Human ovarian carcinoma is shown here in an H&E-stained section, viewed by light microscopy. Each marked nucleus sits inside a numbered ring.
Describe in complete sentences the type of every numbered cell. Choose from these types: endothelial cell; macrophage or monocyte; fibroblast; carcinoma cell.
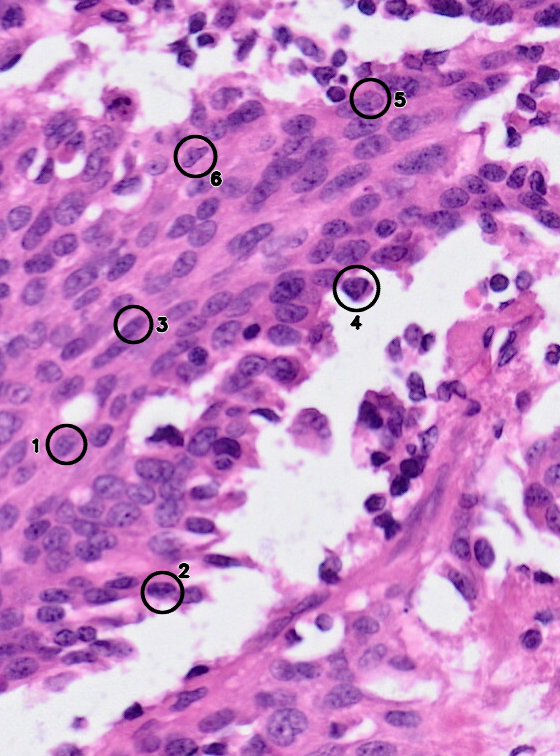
Cell 1 is a carcinoma cell, cell 2 is a macrophage or monocyte, cell 3 is a carcinoma cell, cell 4 is a carcinoma cell, cell 5 is a carcinoma cell and cell 6 is a macrophage or monocyte.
